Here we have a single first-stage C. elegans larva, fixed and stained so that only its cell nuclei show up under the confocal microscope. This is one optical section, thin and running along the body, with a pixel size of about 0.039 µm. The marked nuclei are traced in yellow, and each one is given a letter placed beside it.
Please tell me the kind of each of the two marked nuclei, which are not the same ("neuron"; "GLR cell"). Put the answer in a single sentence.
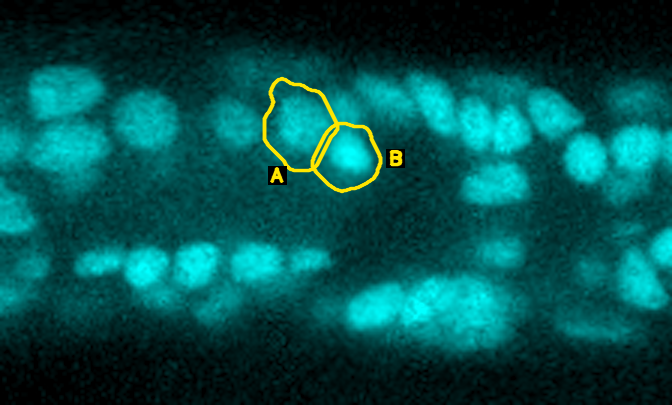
A is the nucleus of a neuron; B is the nucleus of a GLR cell.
